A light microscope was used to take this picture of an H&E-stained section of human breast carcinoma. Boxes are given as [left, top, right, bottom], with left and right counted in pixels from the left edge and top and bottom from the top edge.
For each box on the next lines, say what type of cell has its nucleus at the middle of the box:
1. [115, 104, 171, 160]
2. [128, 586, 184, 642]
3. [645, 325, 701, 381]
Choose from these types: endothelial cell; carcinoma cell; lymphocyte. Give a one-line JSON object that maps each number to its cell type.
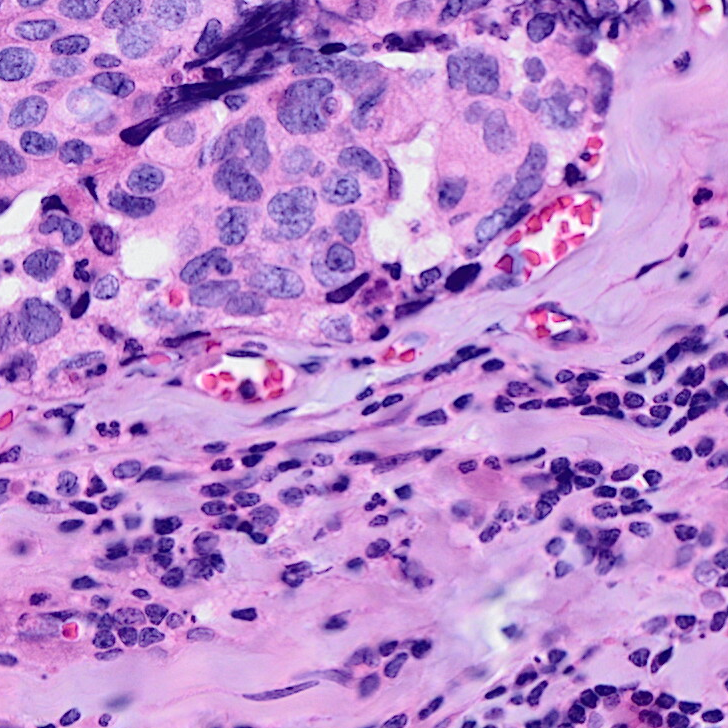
{"1": "carcinoma cell", "2": "lymphocyte", "3": "lymphocyte"}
